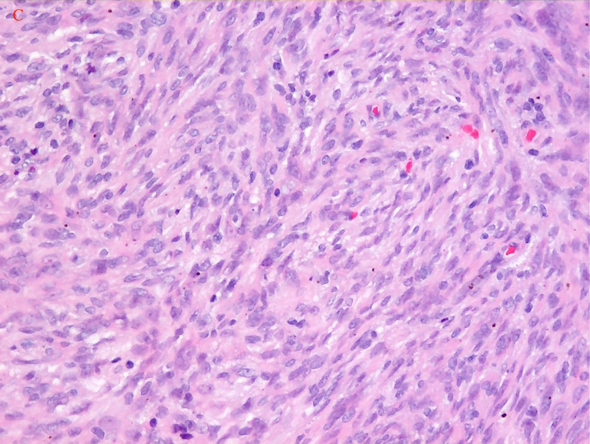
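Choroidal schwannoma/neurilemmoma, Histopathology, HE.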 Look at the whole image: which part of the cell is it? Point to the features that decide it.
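Pink fibrillary cytoplasm extends between the elongated nuclei. Cell borders are indistinct and the pink material forms long strands.
Conclusion: long eosinophilic cytoplasmic processes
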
